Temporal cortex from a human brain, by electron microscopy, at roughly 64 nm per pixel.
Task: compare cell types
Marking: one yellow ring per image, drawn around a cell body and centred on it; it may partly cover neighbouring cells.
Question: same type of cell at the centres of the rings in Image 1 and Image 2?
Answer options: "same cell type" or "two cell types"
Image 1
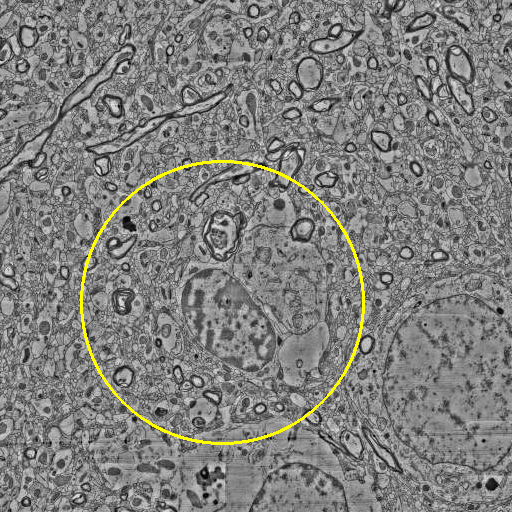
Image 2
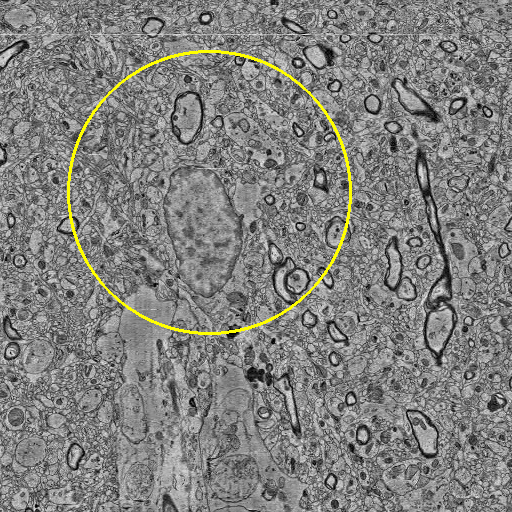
two cell types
